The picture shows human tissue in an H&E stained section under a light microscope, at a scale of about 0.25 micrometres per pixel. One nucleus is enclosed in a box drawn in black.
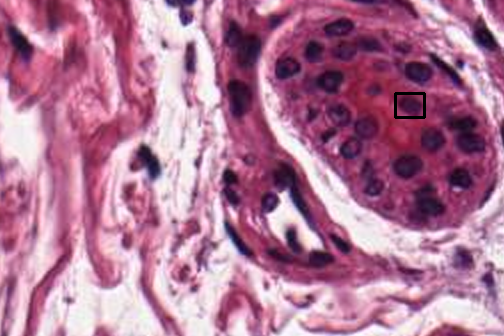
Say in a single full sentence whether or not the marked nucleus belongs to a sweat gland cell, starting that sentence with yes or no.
Yes, the cell whose nucleus is marked is a sweat gland cell.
